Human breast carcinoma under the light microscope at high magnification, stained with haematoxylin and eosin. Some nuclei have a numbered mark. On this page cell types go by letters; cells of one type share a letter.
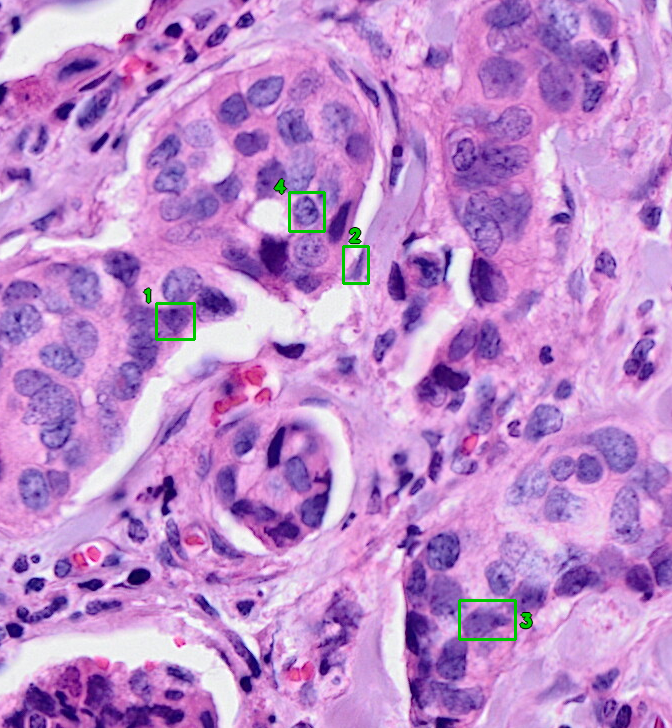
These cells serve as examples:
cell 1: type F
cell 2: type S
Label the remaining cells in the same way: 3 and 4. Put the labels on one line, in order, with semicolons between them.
type F; type F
